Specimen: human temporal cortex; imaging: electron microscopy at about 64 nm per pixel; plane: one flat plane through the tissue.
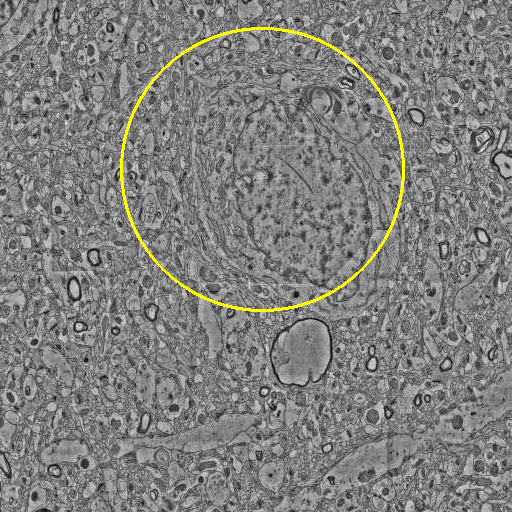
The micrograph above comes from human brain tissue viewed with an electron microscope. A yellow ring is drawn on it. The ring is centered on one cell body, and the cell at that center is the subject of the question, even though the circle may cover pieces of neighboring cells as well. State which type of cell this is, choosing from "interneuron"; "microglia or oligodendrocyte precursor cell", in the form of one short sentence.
The cell the ring is centered on is an interneuron.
